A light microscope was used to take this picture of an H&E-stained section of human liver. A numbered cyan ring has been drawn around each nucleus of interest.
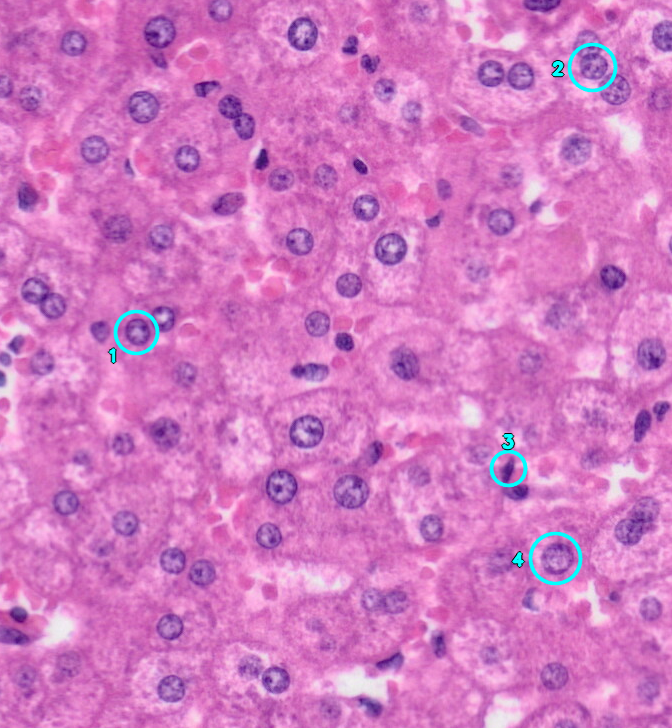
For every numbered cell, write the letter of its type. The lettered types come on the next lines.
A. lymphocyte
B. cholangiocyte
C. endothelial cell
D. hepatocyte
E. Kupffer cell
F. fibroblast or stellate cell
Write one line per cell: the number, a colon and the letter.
1: D
2: D
3: F
4: D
